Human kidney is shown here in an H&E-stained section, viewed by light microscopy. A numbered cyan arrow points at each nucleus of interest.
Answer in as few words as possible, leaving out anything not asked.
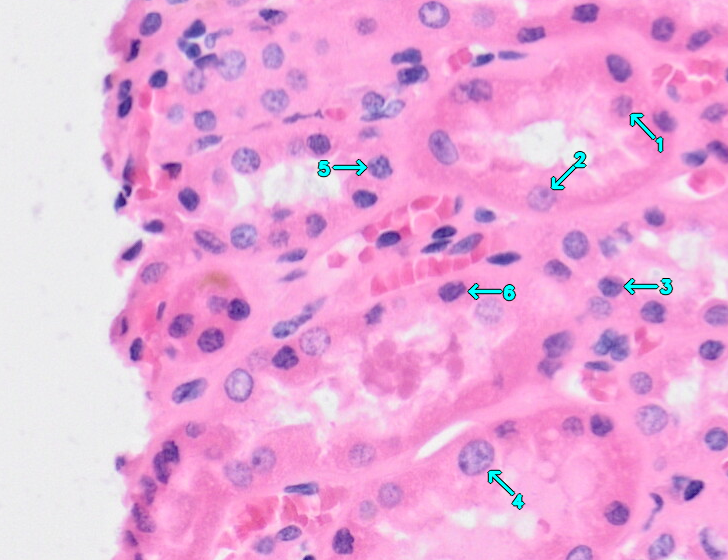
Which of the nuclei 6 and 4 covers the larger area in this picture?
4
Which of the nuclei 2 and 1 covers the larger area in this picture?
2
